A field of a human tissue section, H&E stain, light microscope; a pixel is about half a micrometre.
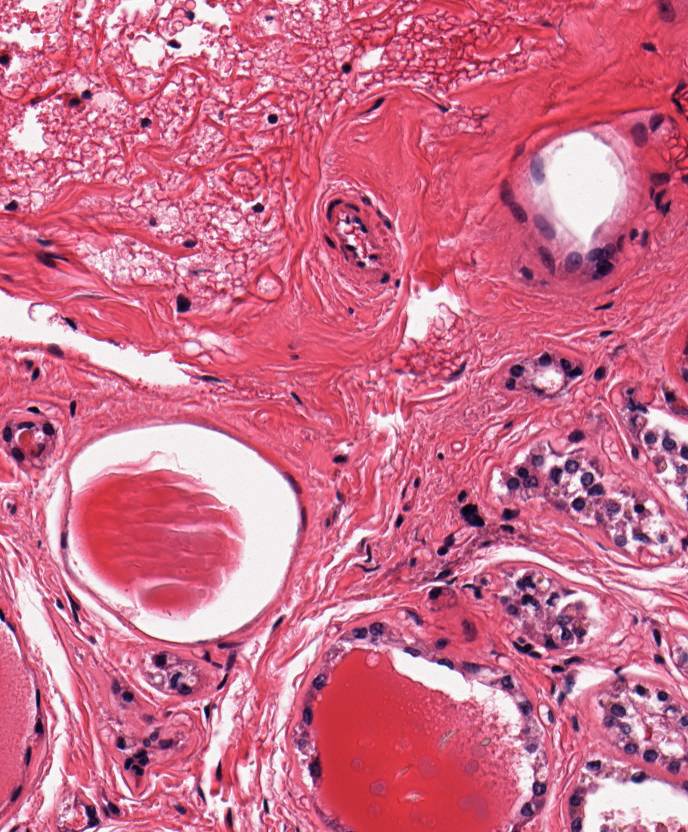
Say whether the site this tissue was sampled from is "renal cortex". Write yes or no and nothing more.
no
